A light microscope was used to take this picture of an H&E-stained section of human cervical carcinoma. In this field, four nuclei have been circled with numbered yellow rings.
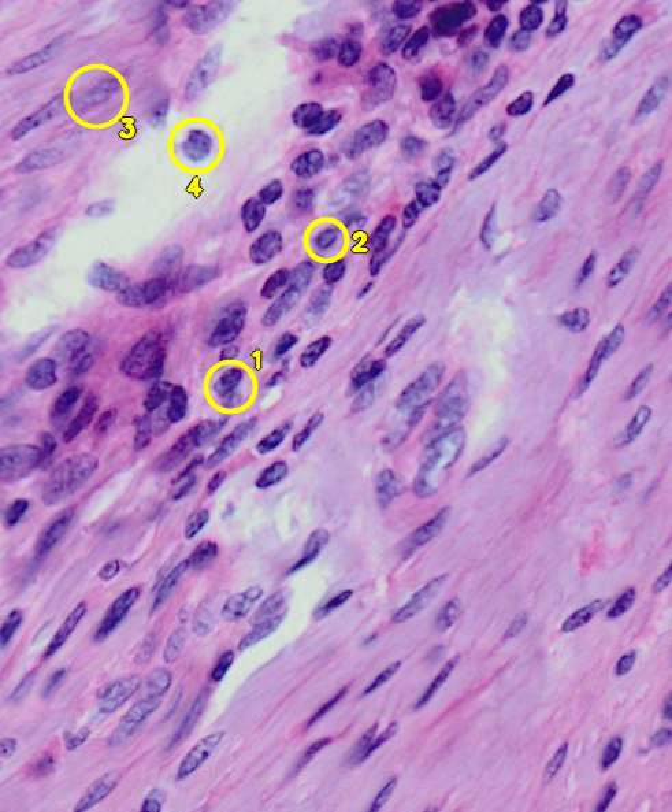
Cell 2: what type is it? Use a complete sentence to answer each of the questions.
The cell to which the number 2 is assigned is a lymphocyte.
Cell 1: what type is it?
The cell assigned the number 1 is a lymphocyte.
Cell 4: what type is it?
In the marked set, the cell given number 4 is a lymphocyte.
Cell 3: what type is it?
Heads up, the cell numbered 3 is a smooth muscle cell.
